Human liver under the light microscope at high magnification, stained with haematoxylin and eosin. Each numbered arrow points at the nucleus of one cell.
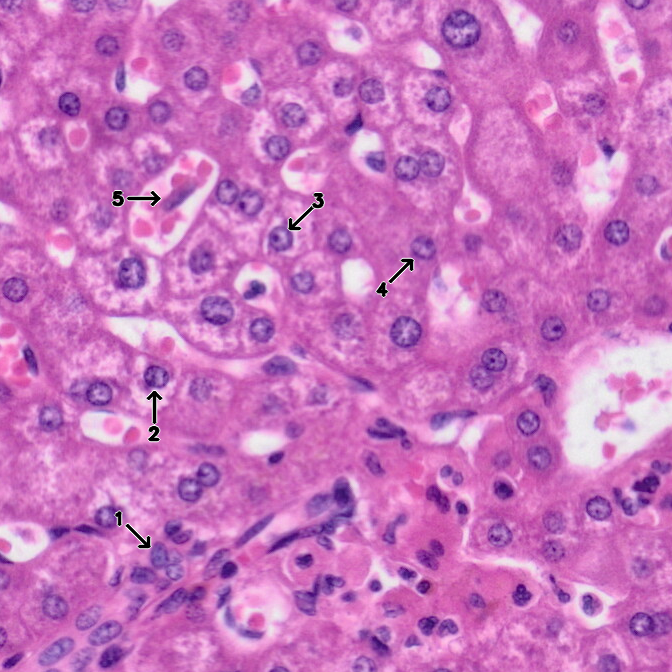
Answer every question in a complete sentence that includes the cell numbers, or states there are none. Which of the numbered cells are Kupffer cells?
Cell 5 is a Kupffer cell, and this holds for no other numbered cell.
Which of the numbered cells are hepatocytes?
The numbers 2, 3 and 4 in this section indicate hepatocytes.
